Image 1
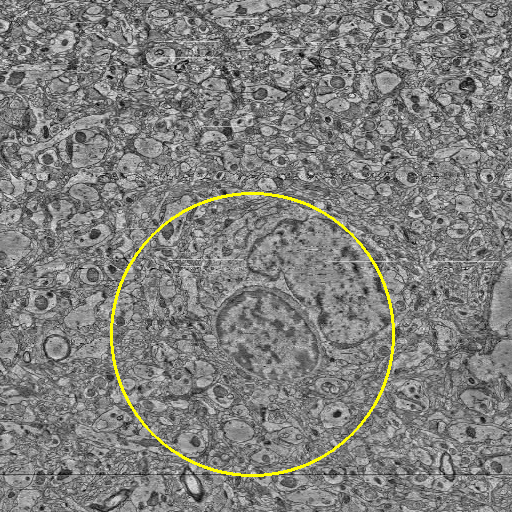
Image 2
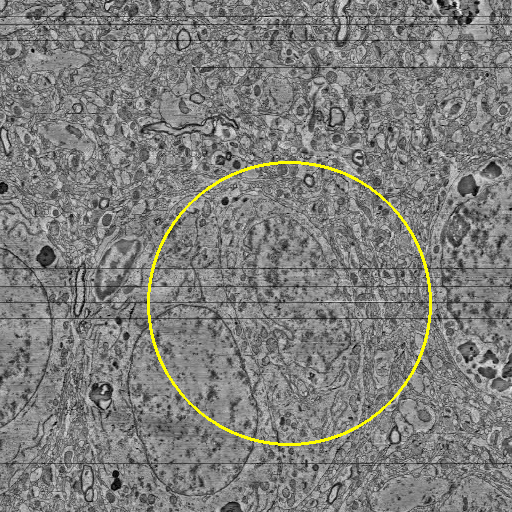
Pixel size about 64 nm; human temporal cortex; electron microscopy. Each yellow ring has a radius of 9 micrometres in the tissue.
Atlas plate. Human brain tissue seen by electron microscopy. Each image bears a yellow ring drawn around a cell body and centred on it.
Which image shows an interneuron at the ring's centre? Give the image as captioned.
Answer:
Image 2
